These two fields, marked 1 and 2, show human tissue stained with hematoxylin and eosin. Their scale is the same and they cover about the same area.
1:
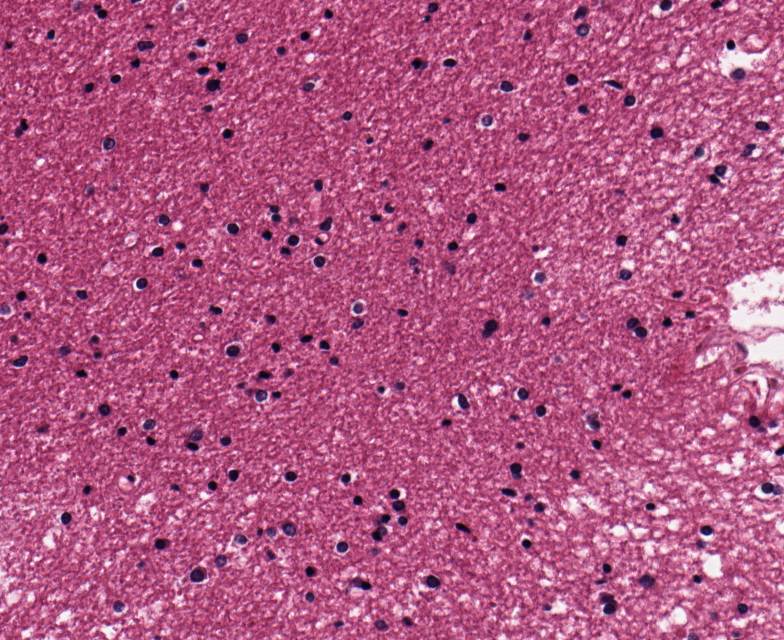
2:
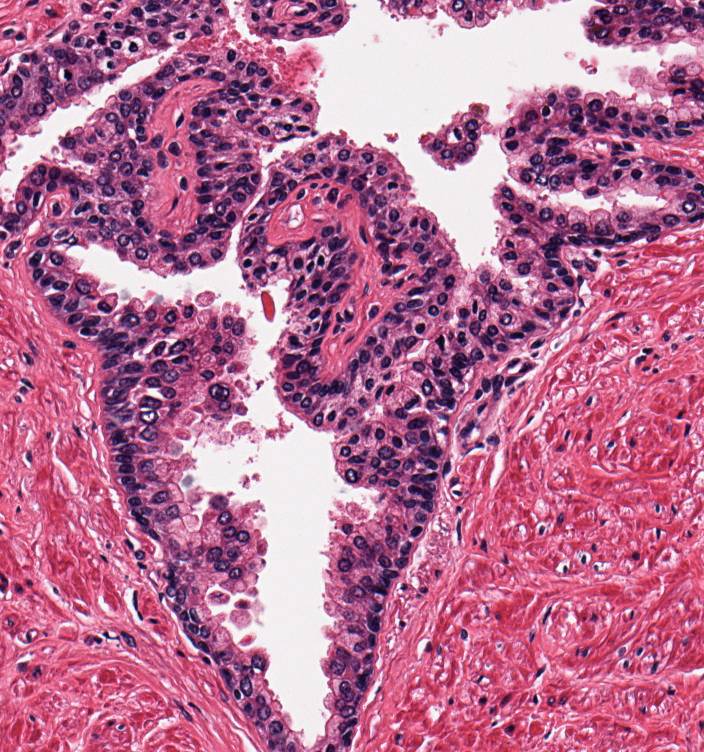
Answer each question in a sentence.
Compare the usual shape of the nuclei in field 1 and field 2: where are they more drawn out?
Longer, more slender nuclei lie in field 2.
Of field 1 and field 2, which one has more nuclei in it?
The larger number of nuclei is in field 2.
